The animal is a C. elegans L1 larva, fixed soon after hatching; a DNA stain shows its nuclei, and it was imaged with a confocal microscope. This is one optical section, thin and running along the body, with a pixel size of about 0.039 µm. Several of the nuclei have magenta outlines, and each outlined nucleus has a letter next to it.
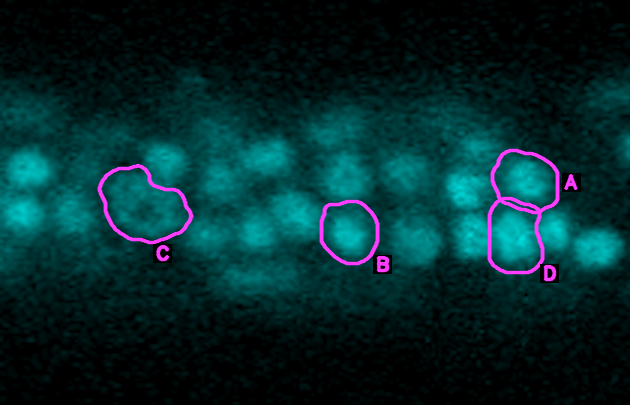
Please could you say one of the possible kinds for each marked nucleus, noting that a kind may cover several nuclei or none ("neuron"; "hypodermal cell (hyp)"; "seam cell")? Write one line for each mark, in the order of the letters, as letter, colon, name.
A: neuron
B: neuron
C: seam cell
D: neuron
